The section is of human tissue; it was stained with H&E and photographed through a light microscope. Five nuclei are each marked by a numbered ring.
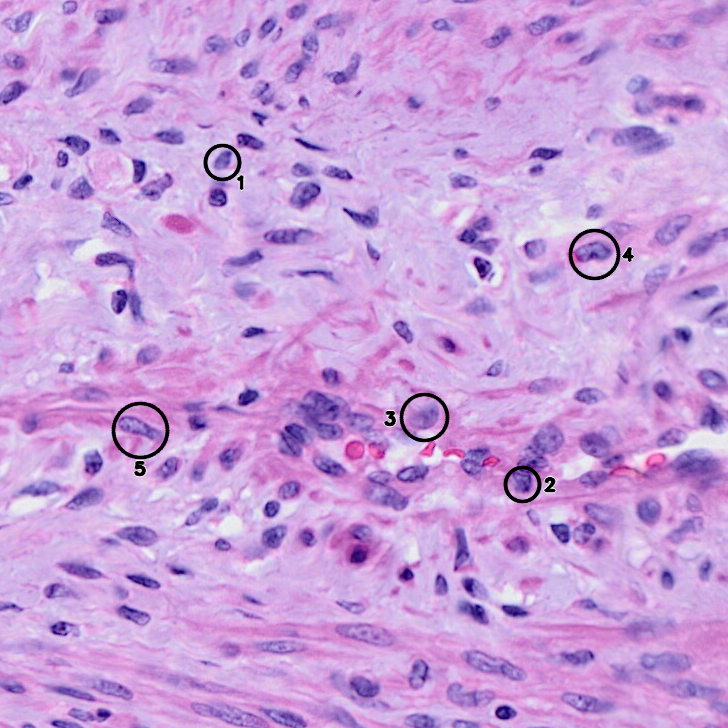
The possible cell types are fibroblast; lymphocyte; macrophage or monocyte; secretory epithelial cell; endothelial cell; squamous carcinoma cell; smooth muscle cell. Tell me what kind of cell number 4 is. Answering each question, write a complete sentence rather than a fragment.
Number 4 among the marked cells is an endothelial cell.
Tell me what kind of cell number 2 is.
Classified as an endothelial cell is the cell with the number 2.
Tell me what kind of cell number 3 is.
Marked with the number 3, this cell is an endothelial cell.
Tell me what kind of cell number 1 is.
The nucleus marked 1 is the nucleus of a fibroblast.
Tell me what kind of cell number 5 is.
Among the marked nuclei, number 5 belongs to a smooth muscle cell.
